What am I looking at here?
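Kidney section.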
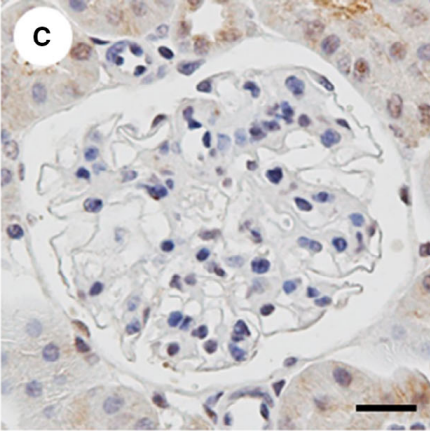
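A renal glomerulus is seen as a rounded tuft of thin-walled glomerular capillaries lying in a clear space enclosed by a thin capsule. The capillary loops have delicate walls and open lumina, with blue-stained nuclei scattered through the tuft. A faint brownish tint is seen in parts of the tuft. Surrounding tubules have cuboidal cells with round blue nuclei and light brown granular cytoplasm.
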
